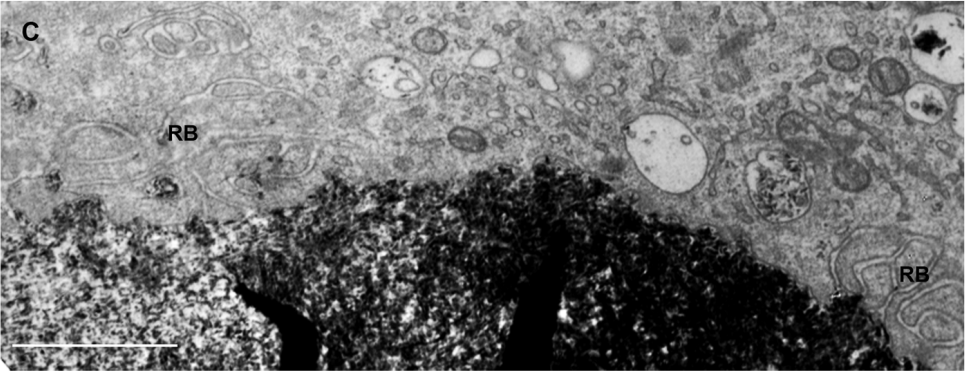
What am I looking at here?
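Part of an osteoclast resting on dark, granular bone matrix is shown at higher magnification. At the left and lower right, the membrane facing the bone is folded into loops and finger-like ruffles. Between them, the membrane runs smoothly along the bone without folds. Just above this smooth stretch, the cytoplasm contains membrane-bound vacuoles, some pale and empty-looking, others holding dense or heterogeneous contents, consistent with secondary lysosomes. Scattered mitochondria with visible cristae and small vesicles fill the rest of the cytoplasm.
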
